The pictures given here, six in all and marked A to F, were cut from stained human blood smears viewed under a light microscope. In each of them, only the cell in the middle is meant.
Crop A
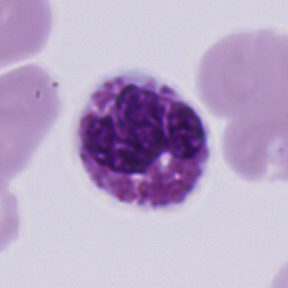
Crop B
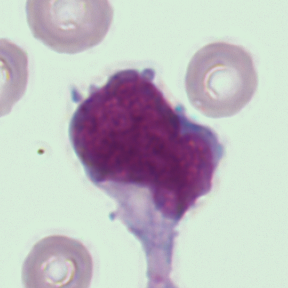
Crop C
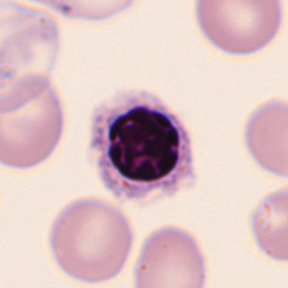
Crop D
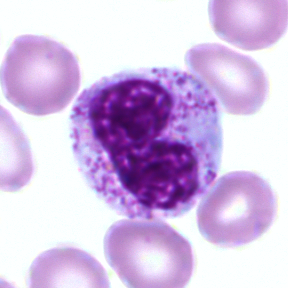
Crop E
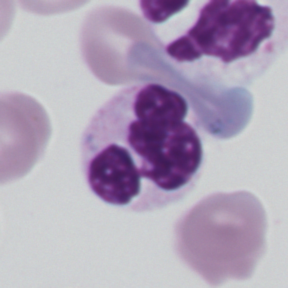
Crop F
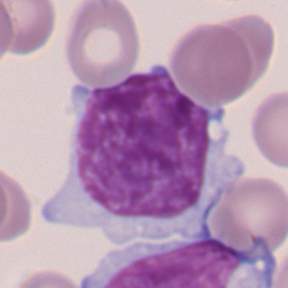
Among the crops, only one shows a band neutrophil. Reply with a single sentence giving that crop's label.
Among the crops given, only crop D shows a band neutrophil.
